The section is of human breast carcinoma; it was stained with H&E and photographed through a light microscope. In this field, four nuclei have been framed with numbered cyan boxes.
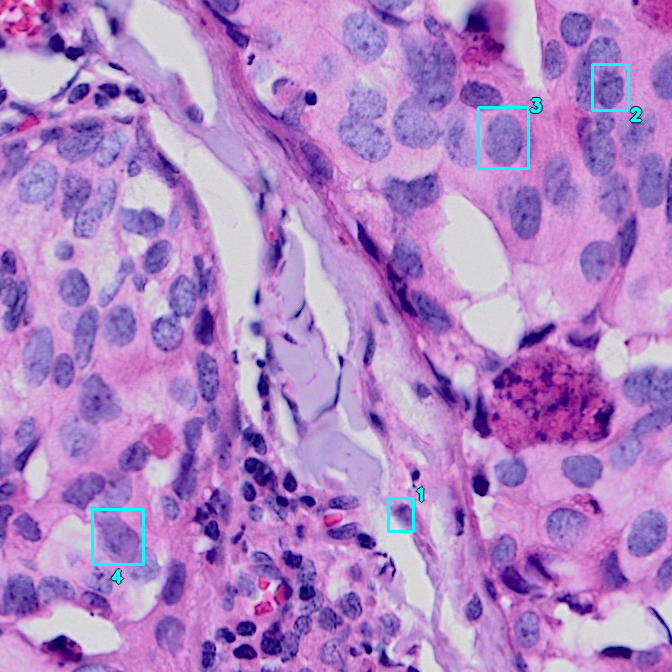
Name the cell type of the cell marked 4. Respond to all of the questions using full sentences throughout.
As for number 4, that cell is a carcinoma cell.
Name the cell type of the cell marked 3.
The one numbered 3 among the marked cells is a carcinoma cell.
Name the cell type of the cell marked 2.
Among the marked nuclei, number 2 belongs to a carcinoma cell.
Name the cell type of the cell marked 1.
Cell 1 in the field of view is a fibroblast.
